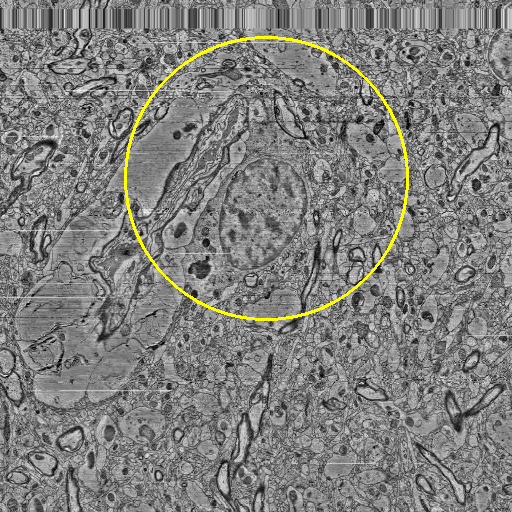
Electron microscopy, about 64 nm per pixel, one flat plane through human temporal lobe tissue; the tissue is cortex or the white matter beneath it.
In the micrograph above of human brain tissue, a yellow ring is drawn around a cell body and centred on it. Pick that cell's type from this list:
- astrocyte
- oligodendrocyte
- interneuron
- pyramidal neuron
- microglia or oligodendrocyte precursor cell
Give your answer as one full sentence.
Going by the list, an oligodendrocyte is the cell on which the yellow ring is centred.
